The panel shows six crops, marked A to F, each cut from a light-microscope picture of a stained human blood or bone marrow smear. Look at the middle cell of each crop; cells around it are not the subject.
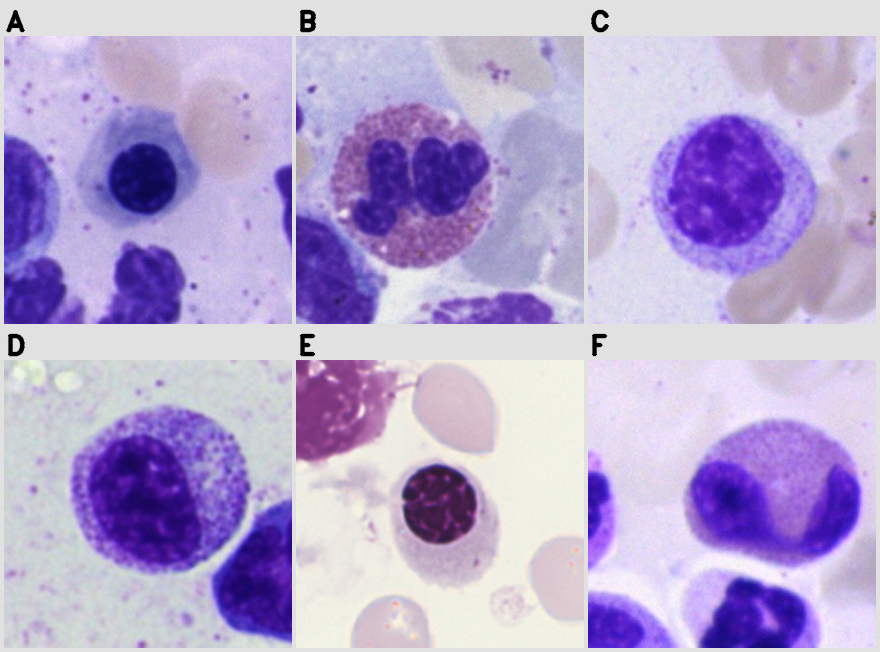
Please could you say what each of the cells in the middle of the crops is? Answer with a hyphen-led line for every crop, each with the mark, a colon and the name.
- A: erythroblast
- B: eosinophil
- C: myelocyte
- D: myelocyte
- E: erythroblast
- F: eosinophil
